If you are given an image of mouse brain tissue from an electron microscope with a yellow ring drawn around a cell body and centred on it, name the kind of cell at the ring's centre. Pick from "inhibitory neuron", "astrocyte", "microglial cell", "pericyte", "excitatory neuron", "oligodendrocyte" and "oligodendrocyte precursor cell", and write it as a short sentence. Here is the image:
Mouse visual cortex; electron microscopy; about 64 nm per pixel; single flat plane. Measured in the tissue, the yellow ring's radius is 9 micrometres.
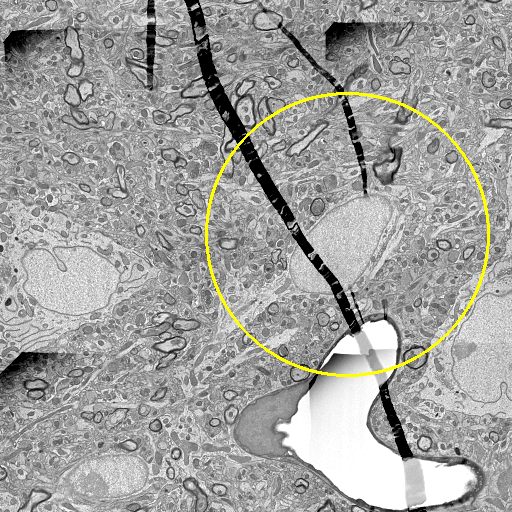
The cell at the ring's centre is an astrocyte.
